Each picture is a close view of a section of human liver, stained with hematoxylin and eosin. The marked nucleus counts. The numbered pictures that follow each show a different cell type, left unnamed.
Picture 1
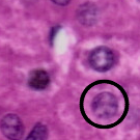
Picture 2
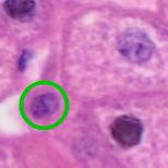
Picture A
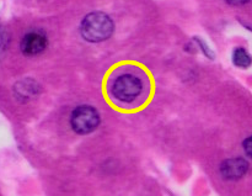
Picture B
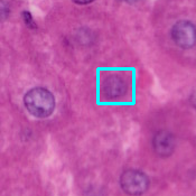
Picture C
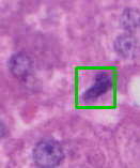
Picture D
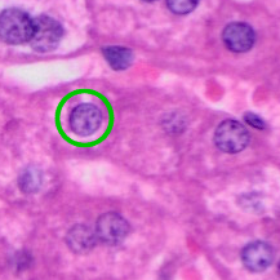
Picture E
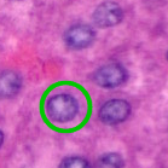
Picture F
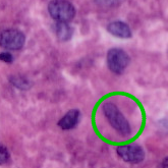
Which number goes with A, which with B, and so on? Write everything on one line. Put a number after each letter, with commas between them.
A 1, B 1, C 2, D 1, E 1, F 2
